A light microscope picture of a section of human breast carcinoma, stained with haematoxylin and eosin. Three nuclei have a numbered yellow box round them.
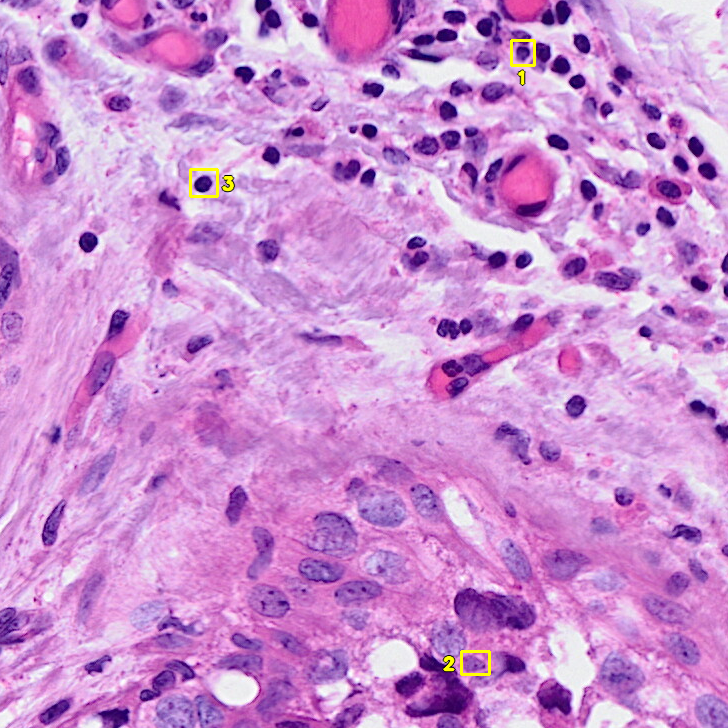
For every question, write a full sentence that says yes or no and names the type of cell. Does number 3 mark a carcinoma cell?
No, the cell given number 3 is a lymphocyte, not a carcinoma cell.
